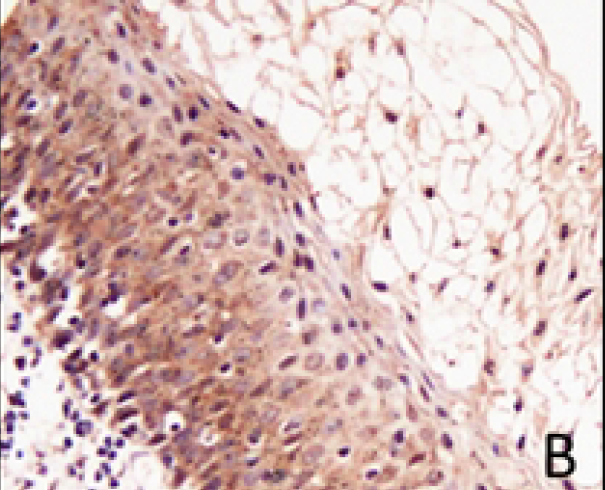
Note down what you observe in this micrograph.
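Brown stain fills the cell bodies and traces the borders between neighbouring cells, while the oval nuclei stay blue. Along the lower left edge, small dark round cells gather in the underlying tissue. To the right, the surface is covered by a loose, pale network of thin-walled spaces outlined faintly in brown. The cells in the band are closely packed, with nuclei spaced fairly evenly, giving an orderly layered appearance.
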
